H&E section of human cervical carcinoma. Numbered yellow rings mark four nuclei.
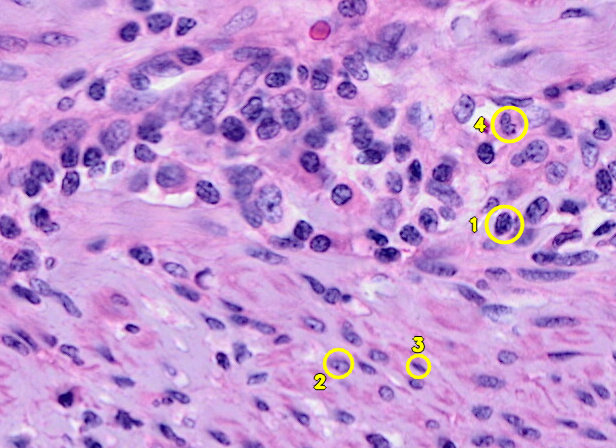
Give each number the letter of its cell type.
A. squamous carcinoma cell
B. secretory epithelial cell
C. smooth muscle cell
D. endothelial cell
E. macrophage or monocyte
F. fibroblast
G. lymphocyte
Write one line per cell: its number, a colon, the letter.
1: G
2: C
3: C
4: D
